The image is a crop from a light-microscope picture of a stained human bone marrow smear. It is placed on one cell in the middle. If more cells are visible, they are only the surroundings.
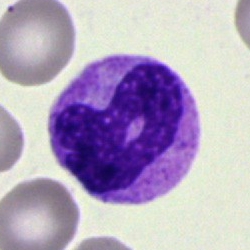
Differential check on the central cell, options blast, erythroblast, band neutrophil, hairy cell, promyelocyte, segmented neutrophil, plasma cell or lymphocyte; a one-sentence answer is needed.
This crop has a segmented neutrophil at its centre.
